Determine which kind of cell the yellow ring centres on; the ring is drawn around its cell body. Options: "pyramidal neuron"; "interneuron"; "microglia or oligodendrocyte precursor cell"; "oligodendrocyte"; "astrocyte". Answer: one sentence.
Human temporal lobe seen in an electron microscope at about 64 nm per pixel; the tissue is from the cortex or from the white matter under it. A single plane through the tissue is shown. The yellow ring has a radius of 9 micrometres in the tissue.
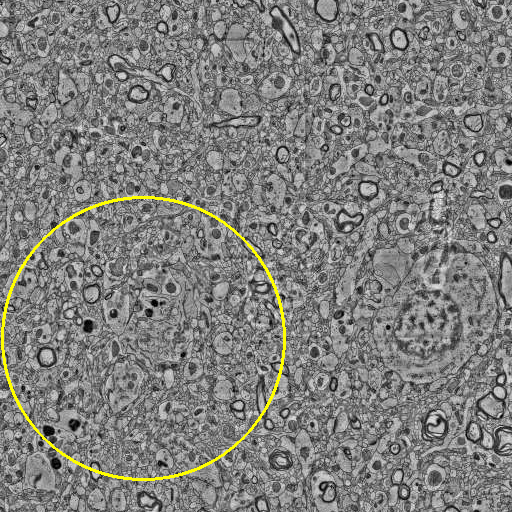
The ring centres on a microglial cell or oligodendrocyte precursor cell.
